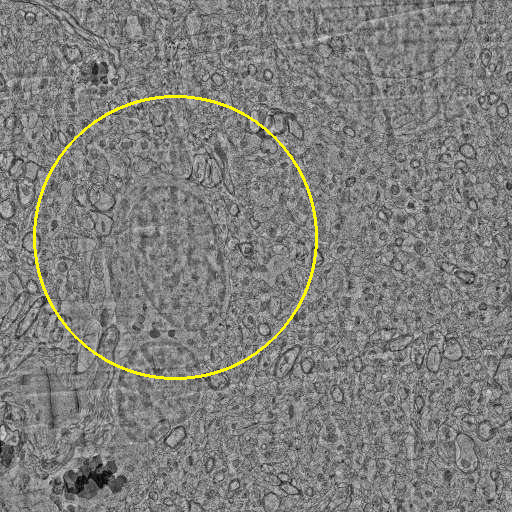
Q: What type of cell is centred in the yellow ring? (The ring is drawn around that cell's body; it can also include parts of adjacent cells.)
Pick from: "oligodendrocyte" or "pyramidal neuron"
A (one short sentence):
The yellow ring is centred on an oligodendrocyte.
